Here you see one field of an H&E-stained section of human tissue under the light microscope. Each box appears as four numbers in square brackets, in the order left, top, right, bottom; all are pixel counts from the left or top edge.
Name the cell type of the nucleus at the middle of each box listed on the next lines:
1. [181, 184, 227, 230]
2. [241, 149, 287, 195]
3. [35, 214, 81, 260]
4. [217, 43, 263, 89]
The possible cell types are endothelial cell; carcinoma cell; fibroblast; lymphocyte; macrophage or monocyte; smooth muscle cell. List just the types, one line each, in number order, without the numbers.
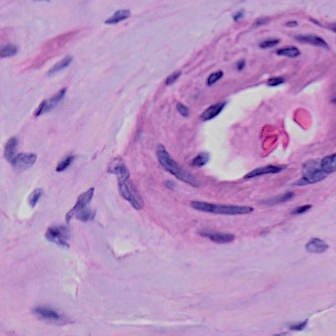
smooth muscle cell
endothelial cell
fibroblast
smooth muscle cell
